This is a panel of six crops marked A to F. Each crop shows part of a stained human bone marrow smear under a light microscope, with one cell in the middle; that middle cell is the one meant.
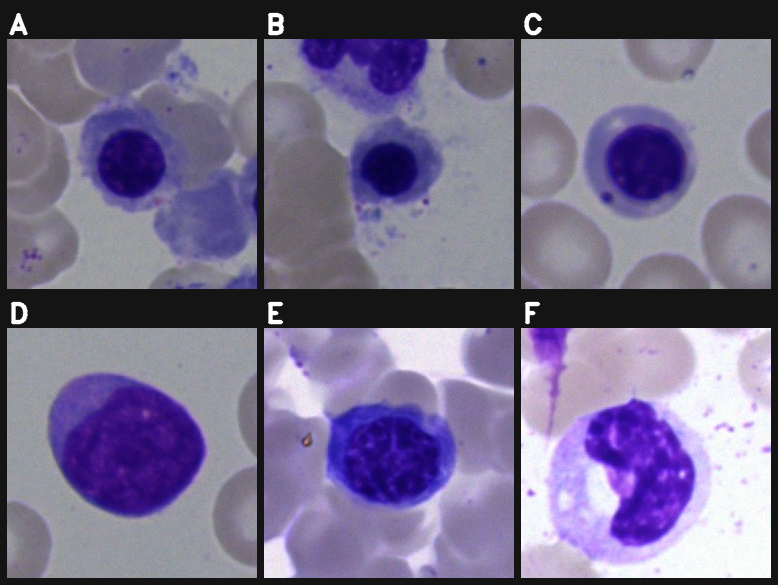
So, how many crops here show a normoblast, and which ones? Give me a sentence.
In the series, four crops show normoblasts, these being A, B, C and E.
